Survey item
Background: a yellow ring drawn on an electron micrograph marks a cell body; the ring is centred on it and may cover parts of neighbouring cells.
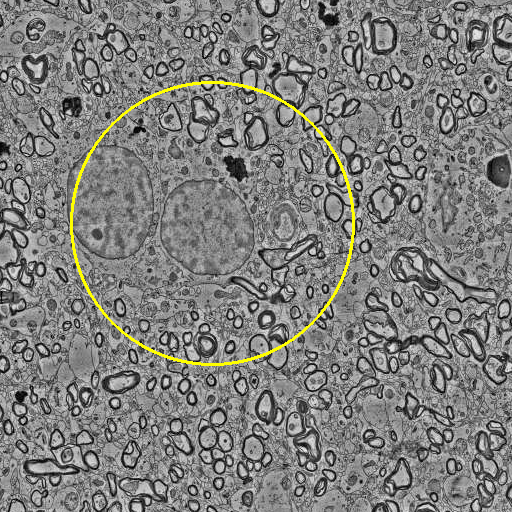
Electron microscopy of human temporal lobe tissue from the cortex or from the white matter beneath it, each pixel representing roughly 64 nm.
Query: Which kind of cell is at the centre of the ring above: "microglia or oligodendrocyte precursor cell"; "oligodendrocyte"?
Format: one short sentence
The cell in the middle of the ring is an oligodendrocyte.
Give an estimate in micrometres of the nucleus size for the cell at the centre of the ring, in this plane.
About 6 micrometres across in this plane, for the nucleus.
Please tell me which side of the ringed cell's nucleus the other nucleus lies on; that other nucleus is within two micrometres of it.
The second nucleus sits to the left of it.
